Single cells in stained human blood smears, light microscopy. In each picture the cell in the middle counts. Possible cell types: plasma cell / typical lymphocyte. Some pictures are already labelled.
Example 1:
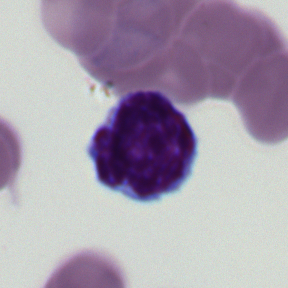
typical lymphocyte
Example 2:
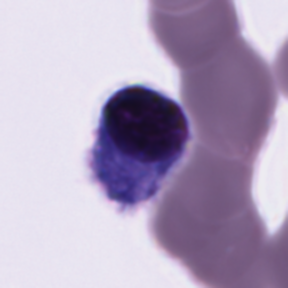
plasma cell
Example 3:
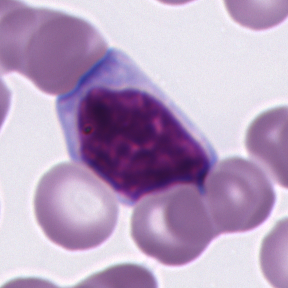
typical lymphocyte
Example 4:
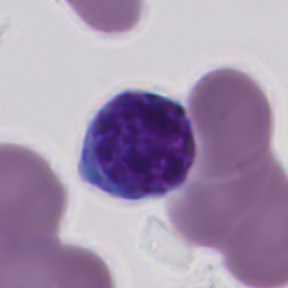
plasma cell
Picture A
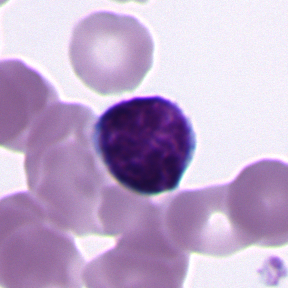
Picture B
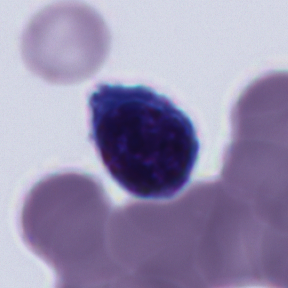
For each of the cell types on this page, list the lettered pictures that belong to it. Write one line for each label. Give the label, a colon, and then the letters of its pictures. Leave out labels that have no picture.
plasma cell: B
typical lymphocyte: A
